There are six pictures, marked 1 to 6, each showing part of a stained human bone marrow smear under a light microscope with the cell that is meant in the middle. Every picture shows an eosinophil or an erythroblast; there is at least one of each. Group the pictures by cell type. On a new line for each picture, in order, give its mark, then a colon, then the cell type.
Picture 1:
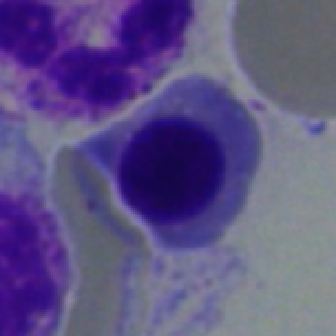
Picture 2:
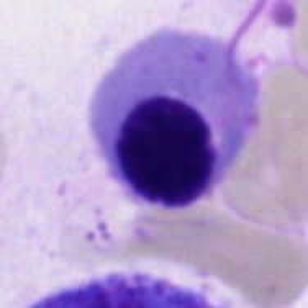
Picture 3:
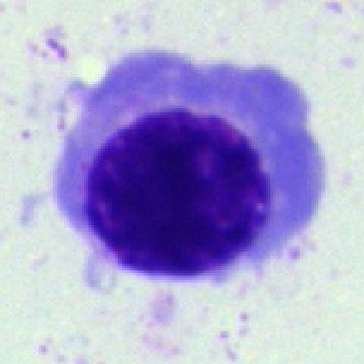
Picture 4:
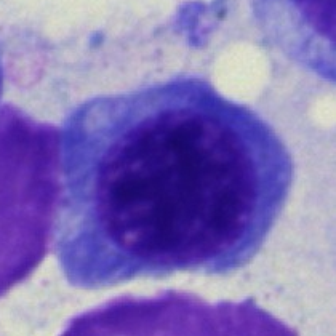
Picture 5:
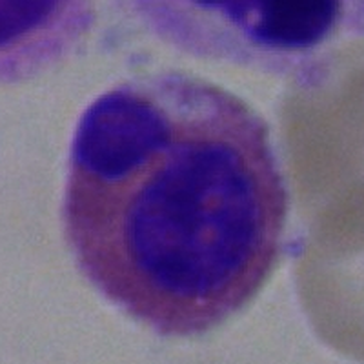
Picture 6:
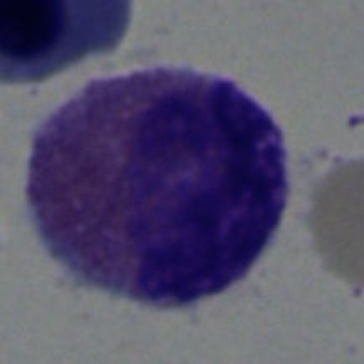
1: erythroblast
2: erythroblast
3: erythroblast
4: erythroblast
5: eosinophil
6: eosinophil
